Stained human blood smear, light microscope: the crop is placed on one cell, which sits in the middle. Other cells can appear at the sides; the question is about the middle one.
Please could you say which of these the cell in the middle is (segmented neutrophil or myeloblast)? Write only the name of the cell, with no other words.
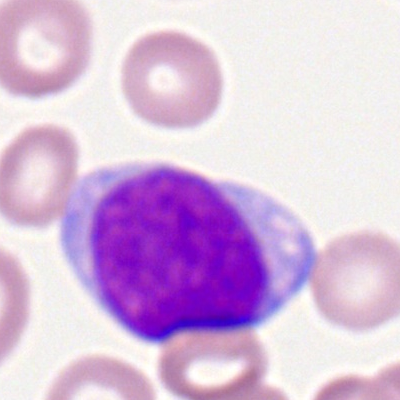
myeloblast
